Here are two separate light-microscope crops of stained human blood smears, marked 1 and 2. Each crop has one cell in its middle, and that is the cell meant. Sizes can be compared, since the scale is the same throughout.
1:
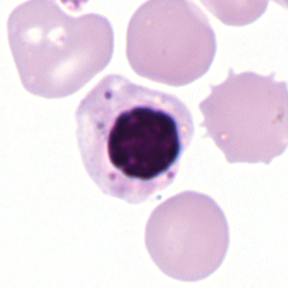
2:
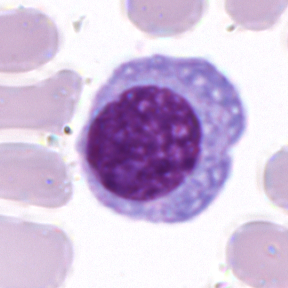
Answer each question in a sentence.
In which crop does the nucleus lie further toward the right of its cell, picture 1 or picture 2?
In picture 1 the nucleus is shifted more toward the right.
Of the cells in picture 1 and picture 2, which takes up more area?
It is the cell in picture 2, about 2 times as large in area as the cell in picture 1.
